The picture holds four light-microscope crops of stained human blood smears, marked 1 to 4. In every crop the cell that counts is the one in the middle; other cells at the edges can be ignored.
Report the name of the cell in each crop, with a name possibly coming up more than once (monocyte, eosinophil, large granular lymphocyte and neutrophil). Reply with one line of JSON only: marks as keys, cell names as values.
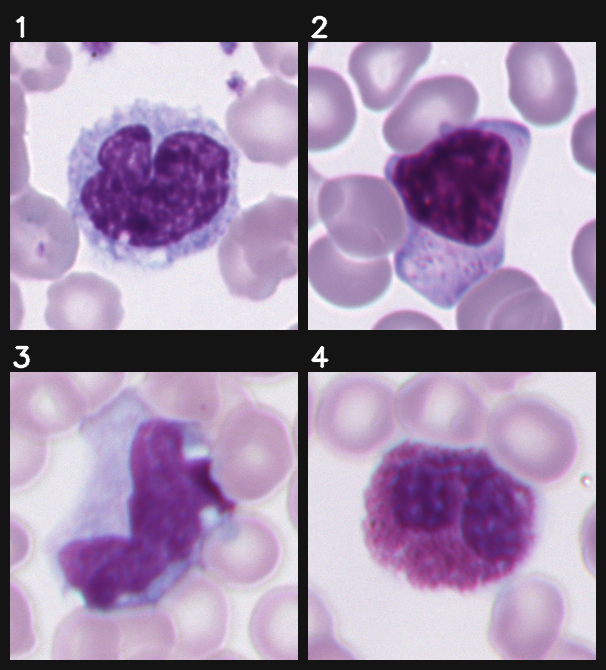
{"1": "monocyte", "2": "large granular lymphocyte", "3": "monocyte", "4": "eosinophil"}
